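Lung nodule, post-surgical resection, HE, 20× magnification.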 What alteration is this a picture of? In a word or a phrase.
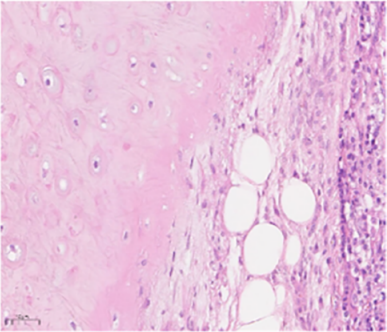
pulmonary hamartoma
